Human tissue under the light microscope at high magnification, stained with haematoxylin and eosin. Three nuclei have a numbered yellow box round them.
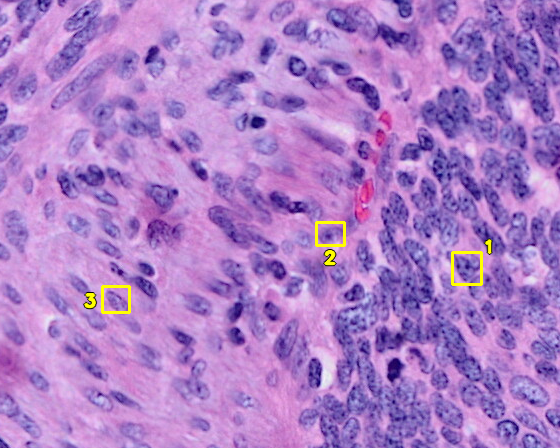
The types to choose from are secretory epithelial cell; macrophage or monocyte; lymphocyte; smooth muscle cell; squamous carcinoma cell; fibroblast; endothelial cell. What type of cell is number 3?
smooth muscle cell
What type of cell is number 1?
squamous carcinoma cell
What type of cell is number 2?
endothelial cell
